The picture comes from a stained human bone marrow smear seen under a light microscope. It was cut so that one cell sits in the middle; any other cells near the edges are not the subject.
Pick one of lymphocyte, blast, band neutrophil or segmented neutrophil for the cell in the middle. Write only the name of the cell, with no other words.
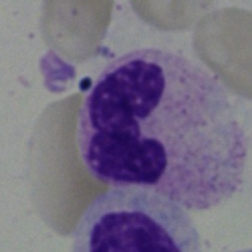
band neutrophil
